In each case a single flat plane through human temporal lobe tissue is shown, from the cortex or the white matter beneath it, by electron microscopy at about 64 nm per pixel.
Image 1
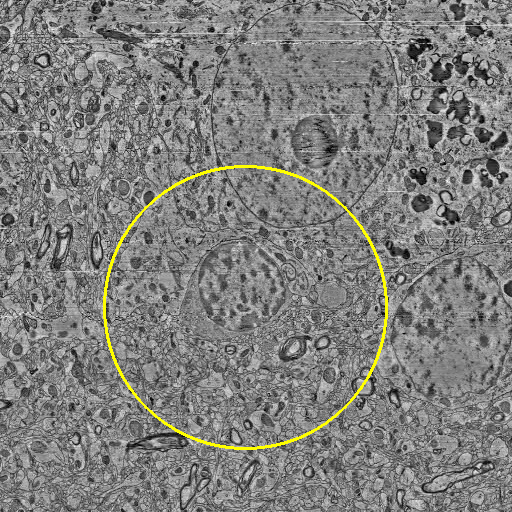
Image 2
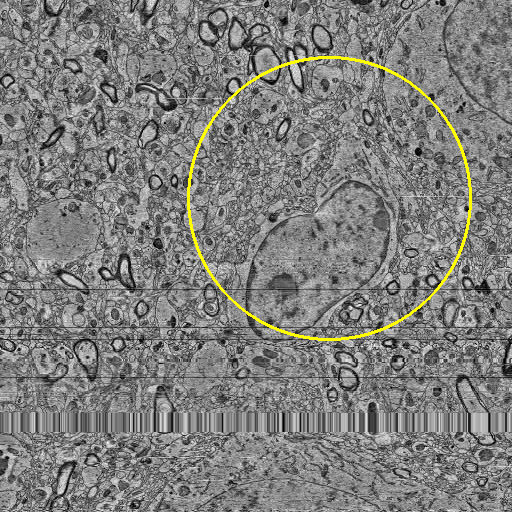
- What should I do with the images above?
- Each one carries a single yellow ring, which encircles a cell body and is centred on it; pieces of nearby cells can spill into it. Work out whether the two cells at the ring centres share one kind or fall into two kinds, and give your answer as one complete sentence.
The ring-centre cells of Image 1 and Image 2 fall into two kinds.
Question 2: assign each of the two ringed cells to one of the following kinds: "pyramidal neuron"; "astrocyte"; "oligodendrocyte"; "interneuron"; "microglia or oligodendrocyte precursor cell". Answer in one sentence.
The two cells are an oligodendrocyte in the first picture and a microglial cell or oligodendrocyte precursor cell in the second.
